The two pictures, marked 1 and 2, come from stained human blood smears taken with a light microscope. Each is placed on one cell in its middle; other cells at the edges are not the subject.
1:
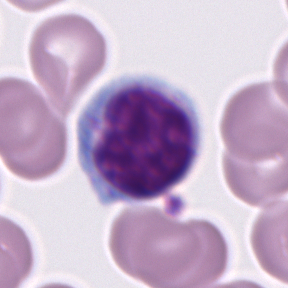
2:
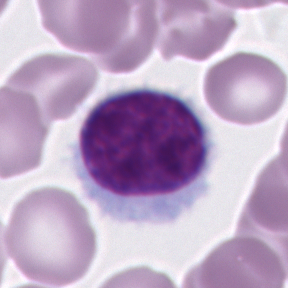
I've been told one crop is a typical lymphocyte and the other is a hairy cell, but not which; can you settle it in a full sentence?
Crop 1 is a typical lymphocyte, and, separately, crop 2 is a hairy cell.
